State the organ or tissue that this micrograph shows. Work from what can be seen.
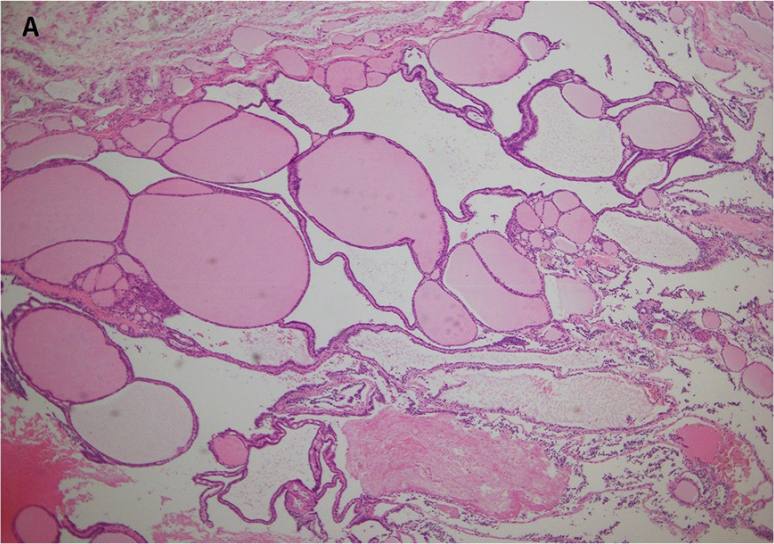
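Many round closed sacs filled with homogeneous pink material. The answer: thyroid gland.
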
